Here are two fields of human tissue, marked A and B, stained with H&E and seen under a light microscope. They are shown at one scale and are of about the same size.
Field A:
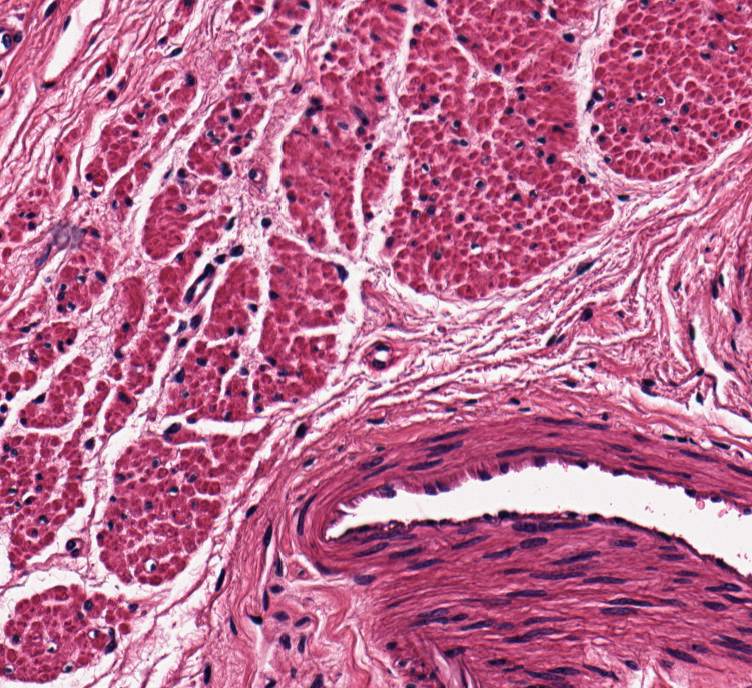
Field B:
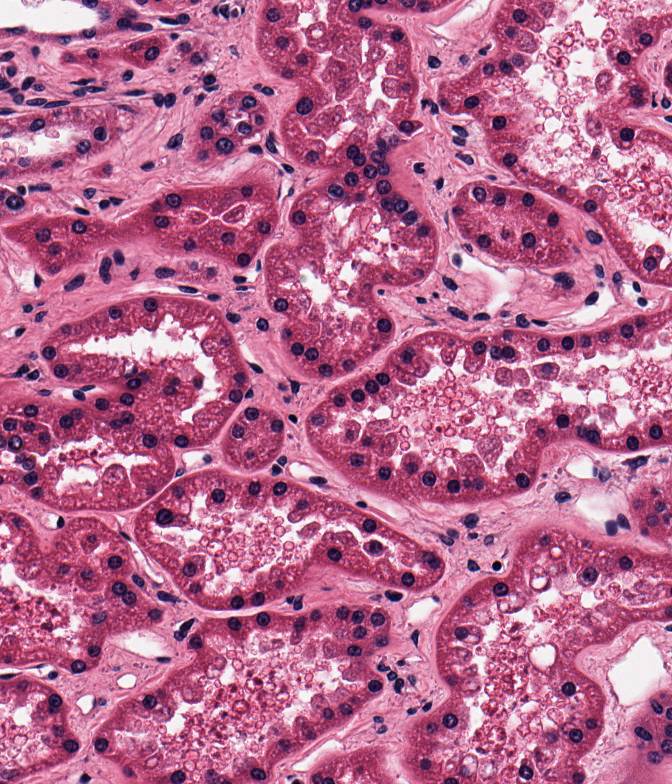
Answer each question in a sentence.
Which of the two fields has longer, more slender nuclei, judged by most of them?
It is field A whose nuclei are the more elongated.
